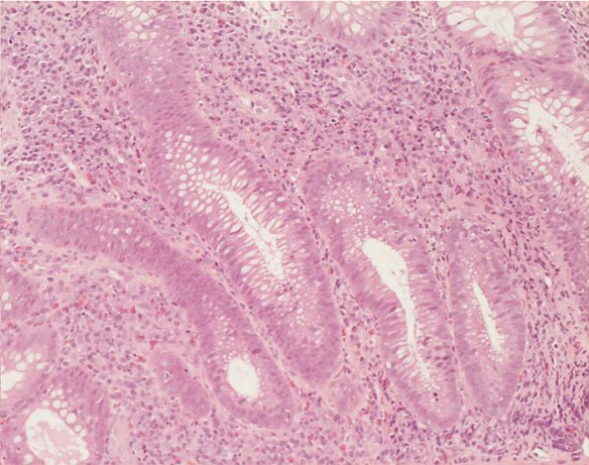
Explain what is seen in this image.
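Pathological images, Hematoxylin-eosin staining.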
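Mucosa with elongated glandular crypts lined by tall columnar epithelium with basal nuclei and pale goblet cell vacuoles. The surrounding stroma is crowded with small round-nucleated inflammatory cells, and crypts are irregular in outline and spacing.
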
